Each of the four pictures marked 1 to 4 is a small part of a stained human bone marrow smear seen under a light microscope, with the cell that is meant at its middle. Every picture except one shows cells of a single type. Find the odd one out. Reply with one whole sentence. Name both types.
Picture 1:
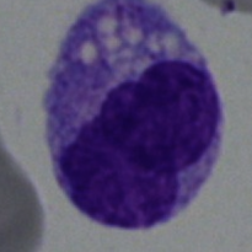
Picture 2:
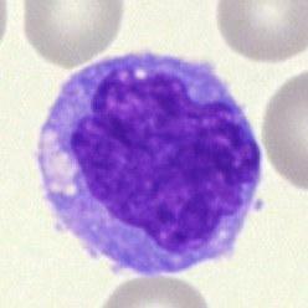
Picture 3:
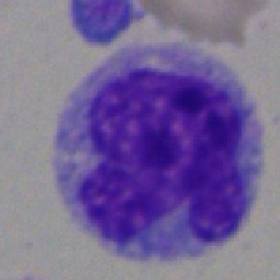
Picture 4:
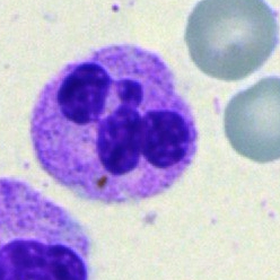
The others show monocytes, but picture 4 shows a segmented neutrophil.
